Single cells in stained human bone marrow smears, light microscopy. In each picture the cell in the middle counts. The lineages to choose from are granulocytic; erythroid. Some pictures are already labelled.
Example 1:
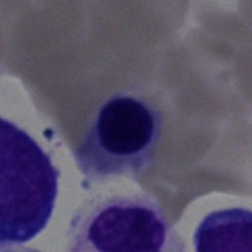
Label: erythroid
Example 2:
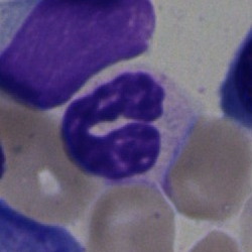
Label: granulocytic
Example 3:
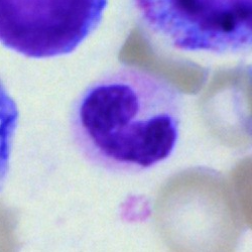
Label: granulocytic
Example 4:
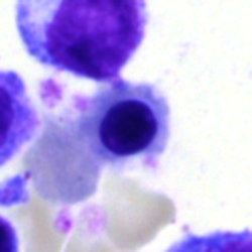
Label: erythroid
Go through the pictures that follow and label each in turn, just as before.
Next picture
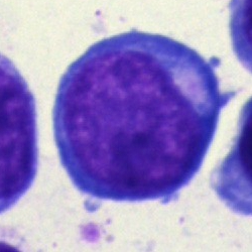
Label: erythroid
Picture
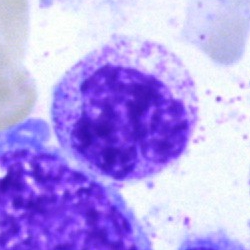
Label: granulocytic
